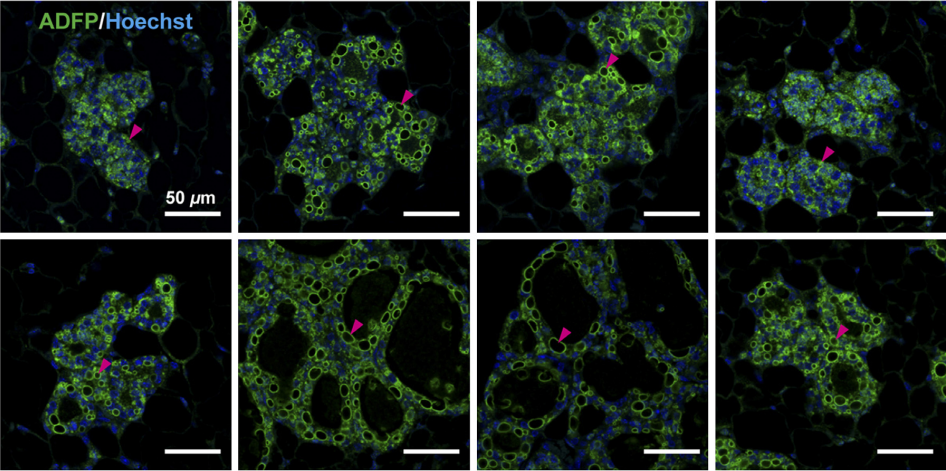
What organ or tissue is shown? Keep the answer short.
Mammary gland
